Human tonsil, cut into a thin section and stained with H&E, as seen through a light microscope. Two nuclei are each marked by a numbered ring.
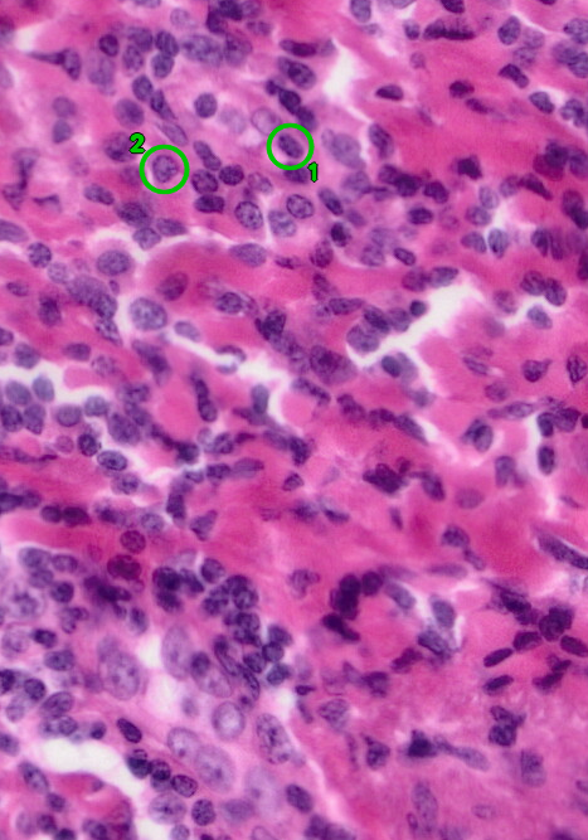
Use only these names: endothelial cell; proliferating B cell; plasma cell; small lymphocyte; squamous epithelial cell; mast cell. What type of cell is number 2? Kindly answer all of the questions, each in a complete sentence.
Among the marked nuclei, number 2 belongs to a plasma cell.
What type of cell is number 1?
That cell with number 1 is an endothelial cell.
